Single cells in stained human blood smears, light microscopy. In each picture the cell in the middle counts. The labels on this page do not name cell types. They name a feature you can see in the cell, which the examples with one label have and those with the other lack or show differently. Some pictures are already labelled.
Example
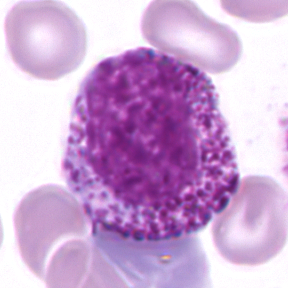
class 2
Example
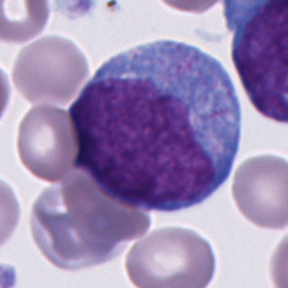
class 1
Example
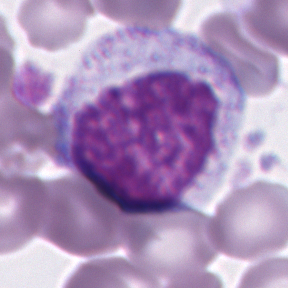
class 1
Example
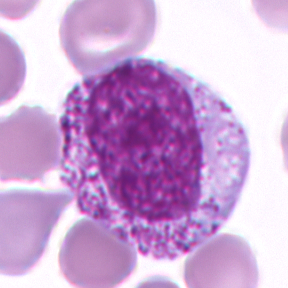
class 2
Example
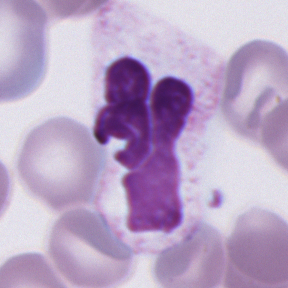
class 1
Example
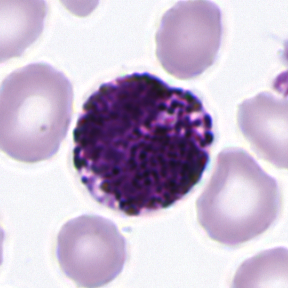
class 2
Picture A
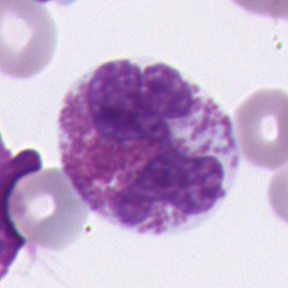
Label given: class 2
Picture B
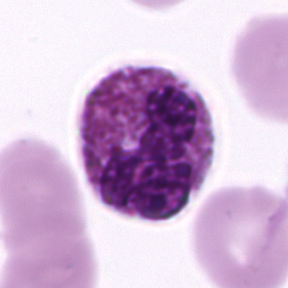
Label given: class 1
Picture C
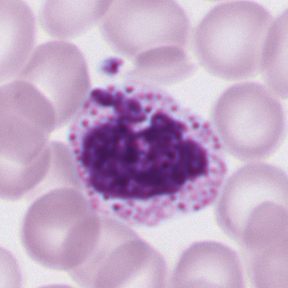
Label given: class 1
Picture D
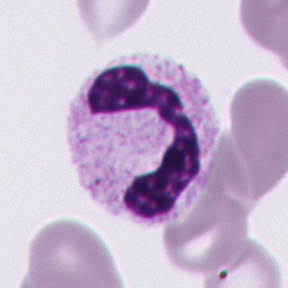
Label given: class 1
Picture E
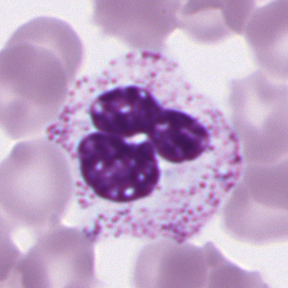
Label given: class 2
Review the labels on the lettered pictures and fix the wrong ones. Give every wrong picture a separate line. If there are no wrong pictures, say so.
None of the labels needs changing.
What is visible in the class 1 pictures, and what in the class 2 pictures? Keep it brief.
class 1, fine or small granules; class 2, coarse or large granules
